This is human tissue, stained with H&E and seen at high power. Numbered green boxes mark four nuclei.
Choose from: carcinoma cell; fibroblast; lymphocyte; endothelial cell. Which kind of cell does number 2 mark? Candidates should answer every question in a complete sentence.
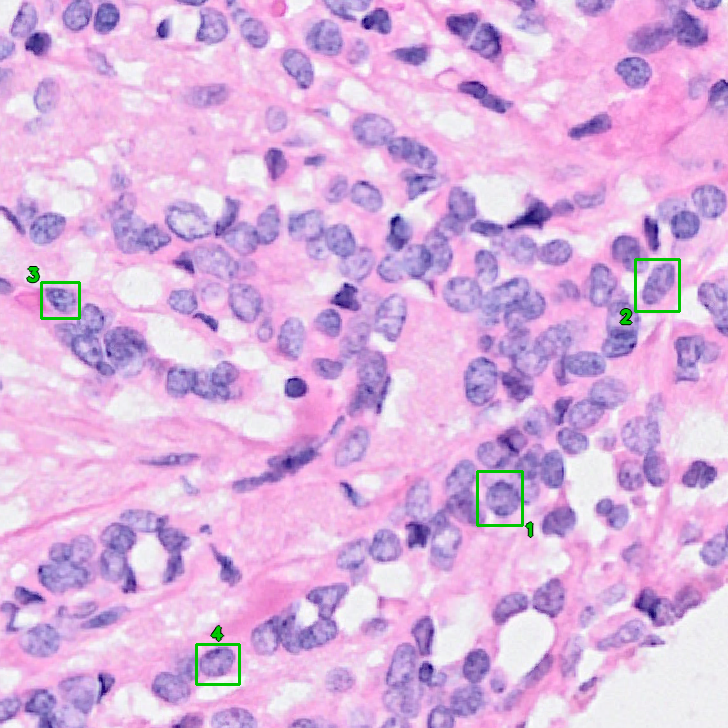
The cell that carries the label 2 is a carcinoma cell.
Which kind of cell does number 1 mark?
The cell referenced by the number 1 is a carcinoma cell in this field.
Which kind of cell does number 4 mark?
The nucleus labeled 4 belongs to a carcinoma cell.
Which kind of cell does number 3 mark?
The cell marked with number 3 is an endothelial cell.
